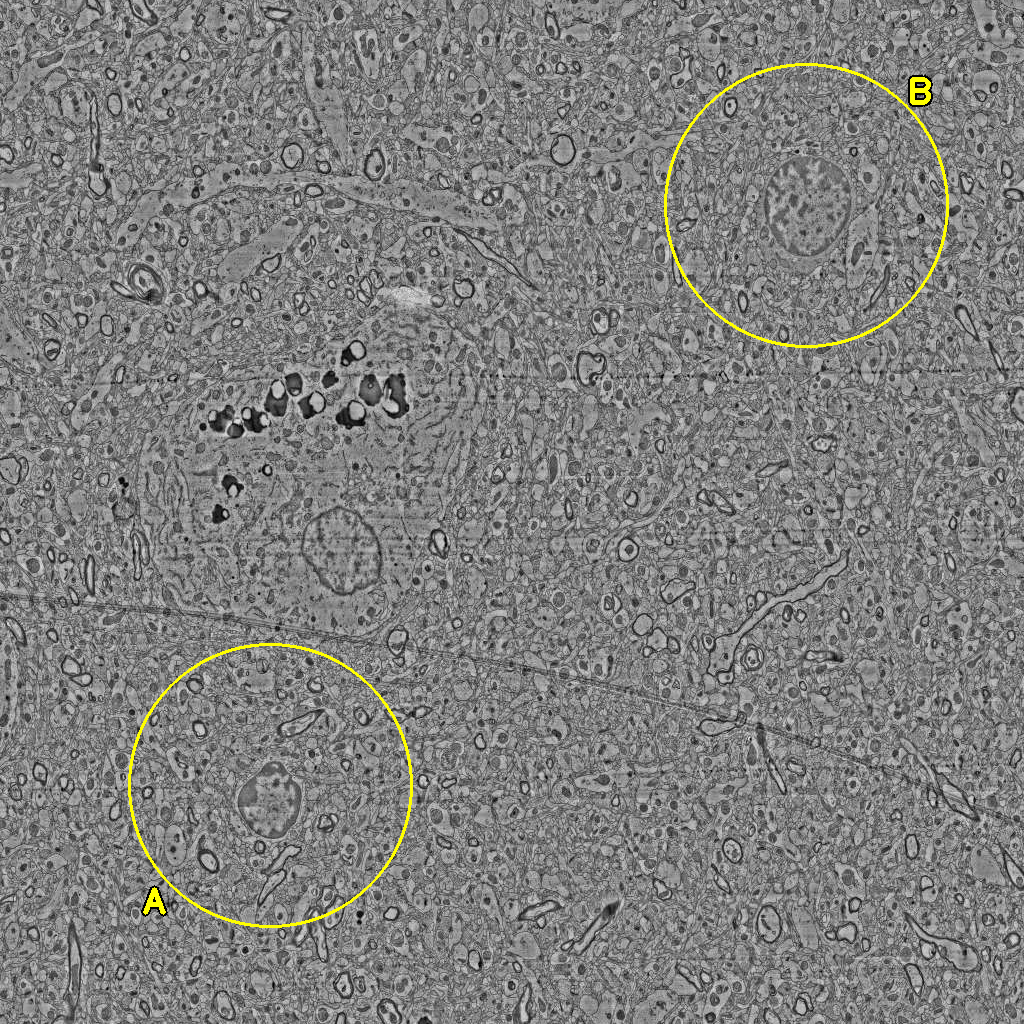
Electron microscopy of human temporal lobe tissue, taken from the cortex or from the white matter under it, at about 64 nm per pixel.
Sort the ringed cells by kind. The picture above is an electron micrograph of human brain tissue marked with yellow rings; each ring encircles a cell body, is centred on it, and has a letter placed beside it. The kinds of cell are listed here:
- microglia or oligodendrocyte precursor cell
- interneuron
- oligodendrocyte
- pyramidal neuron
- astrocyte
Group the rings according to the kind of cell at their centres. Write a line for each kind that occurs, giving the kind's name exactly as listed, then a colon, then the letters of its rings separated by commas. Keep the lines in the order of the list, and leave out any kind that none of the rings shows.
microglia or oligodendrocyte precursor cell: A
oligodendrocyte: B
